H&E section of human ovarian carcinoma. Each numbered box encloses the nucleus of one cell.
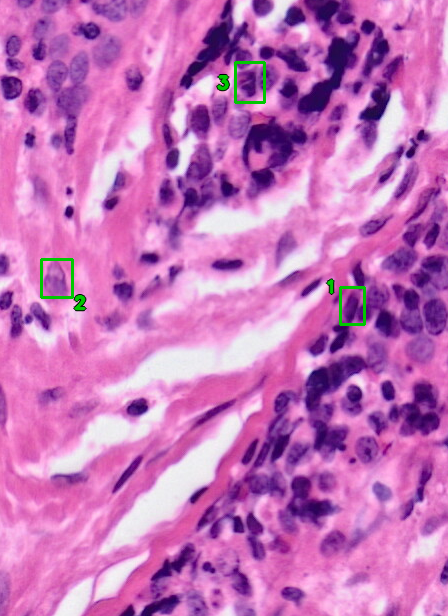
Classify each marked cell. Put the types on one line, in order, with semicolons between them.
carcinoma cell; fibroblast; macrophage or monocyte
